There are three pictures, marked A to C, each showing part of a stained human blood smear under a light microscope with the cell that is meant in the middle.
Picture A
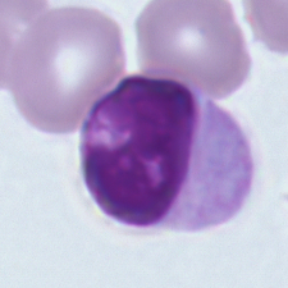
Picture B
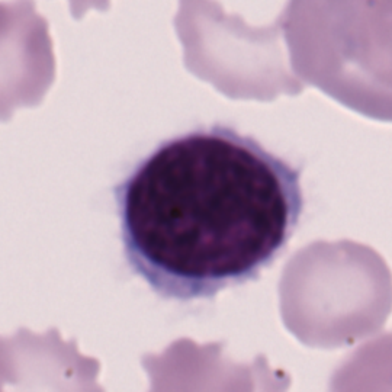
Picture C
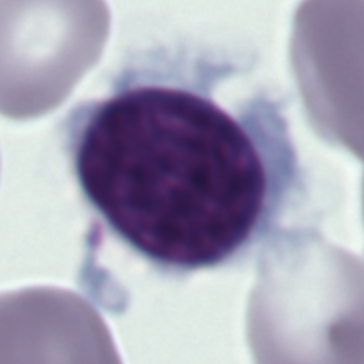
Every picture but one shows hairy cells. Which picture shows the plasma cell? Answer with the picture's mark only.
A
